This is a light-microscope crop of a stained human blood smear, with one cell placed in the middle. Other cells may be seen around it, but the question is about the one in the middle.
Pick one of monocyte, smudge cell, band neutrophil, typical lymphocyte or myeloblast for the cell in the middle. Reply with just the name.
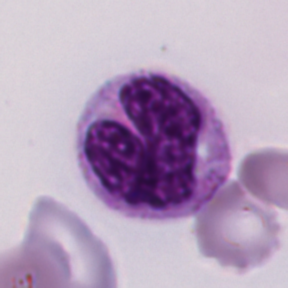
band neutrophil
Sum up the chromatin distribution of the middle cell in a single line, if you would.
The key point is fine chromatin with no coarse clumps.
